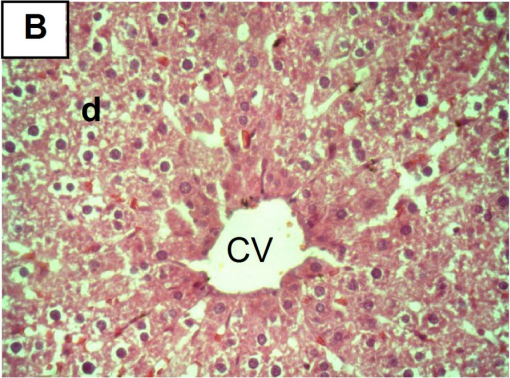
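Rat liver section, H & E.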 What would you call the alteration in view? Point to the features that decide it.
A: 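Degeneration. Hepatocyte cytoplasm is pale and finely vacuolated. Cell outlines are indistinct compared with solid pink liver cords.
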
